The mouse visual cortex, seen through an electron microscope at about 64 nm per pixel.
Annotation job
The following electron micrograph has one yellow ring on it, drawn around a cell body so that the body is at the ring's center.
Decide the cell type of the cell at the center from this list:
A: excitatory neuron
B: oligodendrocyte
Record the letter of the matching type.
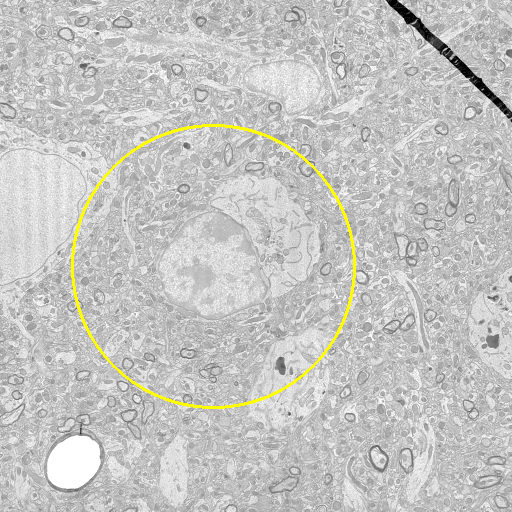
B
